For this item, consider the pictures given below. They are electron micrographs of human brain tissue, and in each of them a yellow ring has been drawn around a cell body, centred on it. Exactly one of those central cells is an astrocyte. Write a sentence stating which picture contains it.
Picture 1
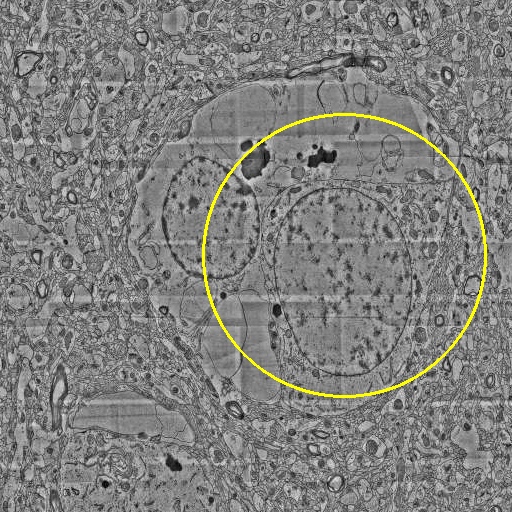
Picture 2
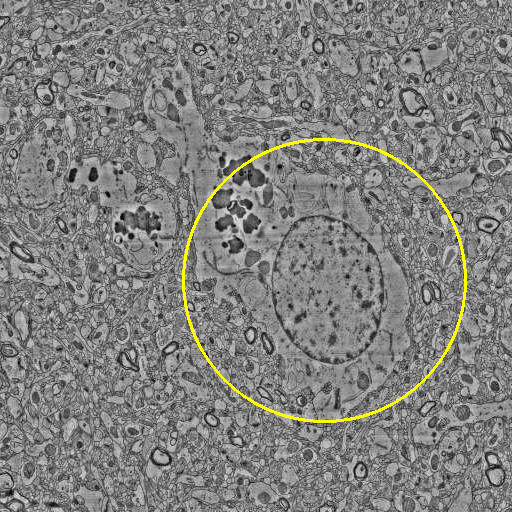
It is in Picture 2.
